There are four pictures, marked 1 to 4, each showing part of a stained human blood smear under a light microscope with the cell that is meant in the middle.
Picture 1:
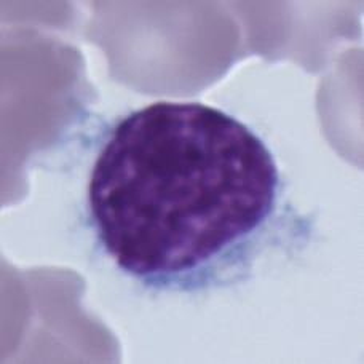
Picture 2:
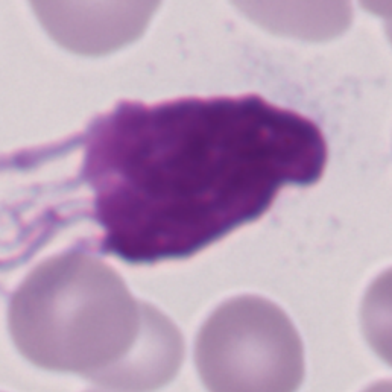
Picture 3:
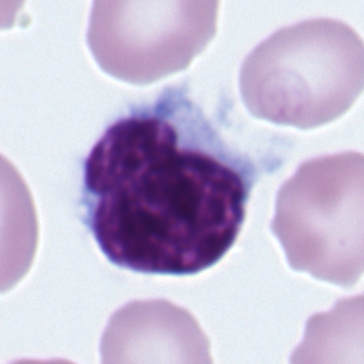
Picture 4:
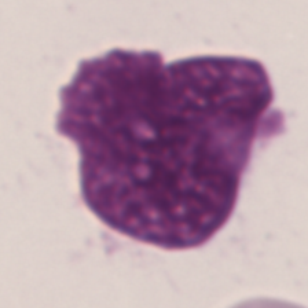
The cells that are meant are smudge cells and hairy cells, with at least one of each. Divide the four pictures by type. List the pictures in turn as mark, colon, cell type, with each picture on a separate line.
1: hairy cell
2: smudge cell
3: hairy cell
4: smudge cell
